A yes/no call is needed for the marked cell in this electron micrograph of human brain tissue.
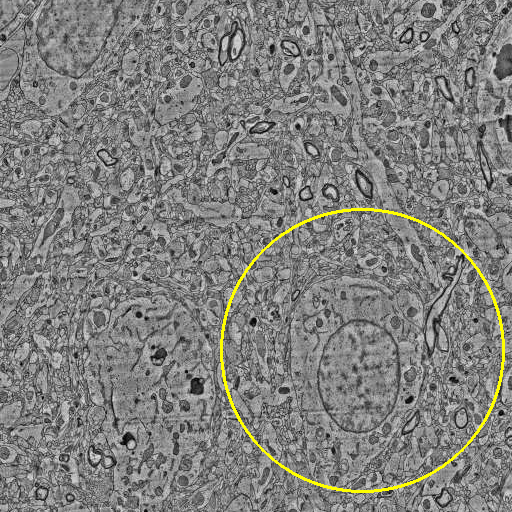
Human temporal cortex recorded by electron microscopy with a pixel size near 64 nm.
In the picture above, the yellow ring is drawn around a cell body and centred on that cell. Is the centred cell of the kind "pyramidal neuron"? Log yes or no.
yes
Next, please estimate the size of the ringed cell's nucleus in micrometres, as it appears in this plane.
The nucleus measures about 7 by 5 micrometres in this plane.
